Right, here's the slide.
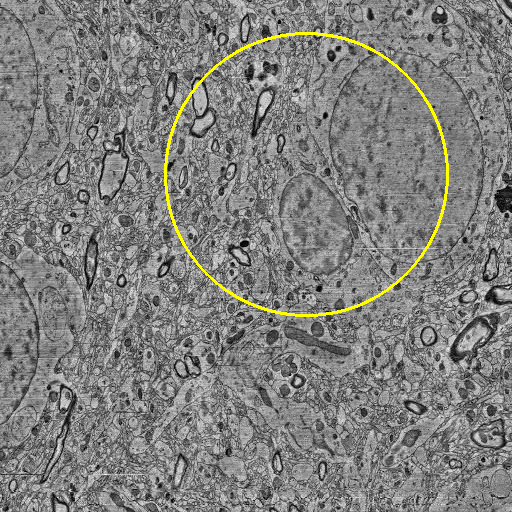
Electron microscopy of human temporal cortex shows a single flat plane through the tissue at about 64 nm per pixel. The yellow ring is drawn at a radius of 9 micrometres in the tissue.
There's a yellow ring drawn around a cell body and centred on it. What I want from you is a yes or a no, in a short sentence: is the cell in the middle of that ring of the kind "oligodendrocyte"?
Yes, it's of that kind.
